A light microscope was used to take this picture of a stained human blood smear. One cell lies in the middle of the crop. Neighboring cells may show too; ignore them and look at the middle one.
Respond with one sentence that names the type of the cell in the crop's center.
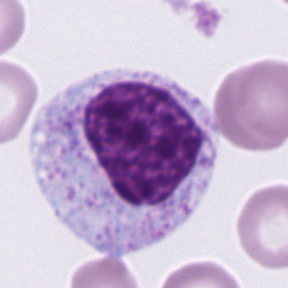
The cell in the middle of this crop is a myelocyte.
